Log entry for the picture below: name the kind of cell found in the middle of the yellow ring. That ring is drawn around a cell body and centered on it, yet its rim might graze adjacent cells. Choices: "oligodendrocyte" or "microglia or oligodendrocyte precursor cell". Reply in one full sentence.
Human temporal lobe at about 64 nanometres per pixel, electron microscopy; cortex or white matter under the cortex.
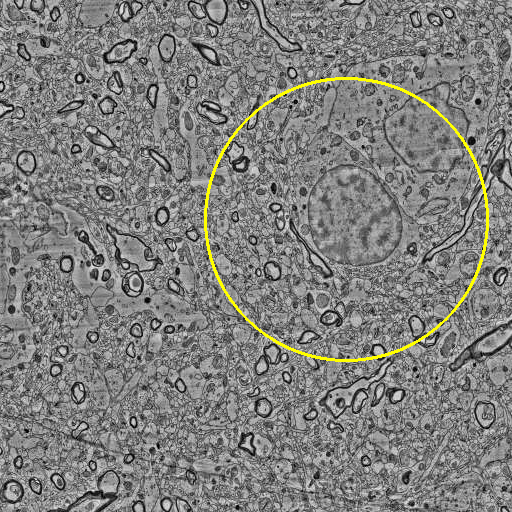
The cell in the middle of the yellow ring in this picture is an oligodendrocyte.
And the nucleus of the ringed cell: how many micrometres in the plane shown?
Roughly 7 micrometres across, measured in this plane.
